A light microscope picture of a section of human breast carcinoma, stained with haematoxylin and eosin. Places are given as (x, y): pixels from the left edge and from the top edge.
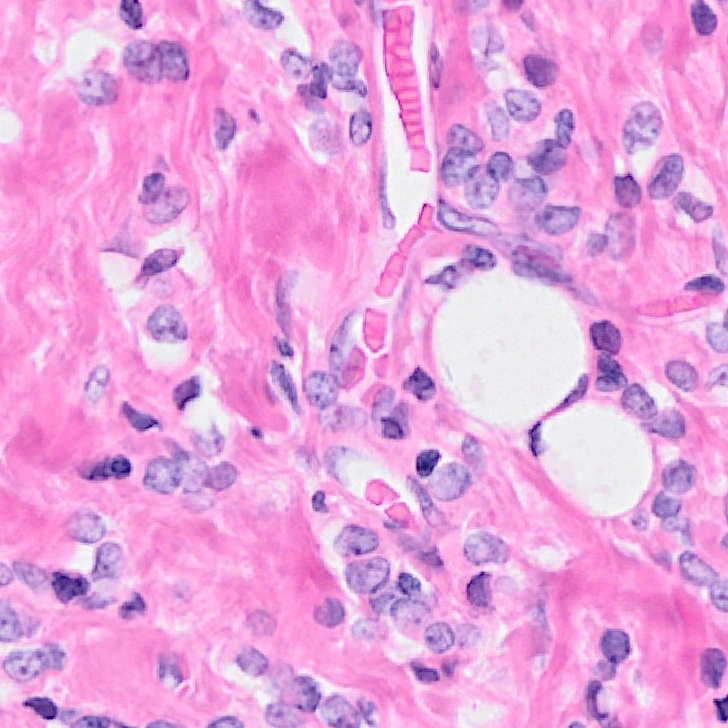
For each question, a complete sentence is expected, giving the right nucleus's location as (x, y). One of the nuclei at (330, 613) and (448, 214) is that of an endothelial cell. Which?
The nucleus belonging to an endothelial cell is the one at (448, 214).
